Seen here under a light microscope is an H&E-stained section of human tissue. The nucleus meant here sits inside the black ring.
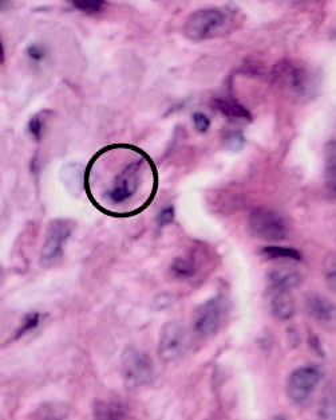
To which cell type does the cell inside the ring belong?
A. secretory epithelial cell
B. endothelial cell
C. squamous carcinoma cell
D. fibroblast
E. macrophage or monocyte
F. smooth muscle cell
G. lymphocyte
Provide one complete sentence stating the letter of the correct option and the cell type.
Option E, identifying the cell inside the ring as a macrophage or monocyte, is correct.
